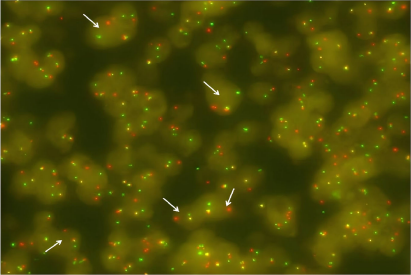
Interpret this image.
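Interphase nuclei from a fluorescence in situ hybridization preparation, seen as pale yellowish-green rounded shapes crowded together on a dark background. Each nucleus contains several small bright dots, red, green or merged yellow. In many nuclei red and green dots lie side by side or overlap as fused signals. In several nuclei, marked by white arrows, a red dot lies clearly apart from its green partner, giving a separated signal pattern. The nuclei are of similar size and round to oval, some overlapping one another.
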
